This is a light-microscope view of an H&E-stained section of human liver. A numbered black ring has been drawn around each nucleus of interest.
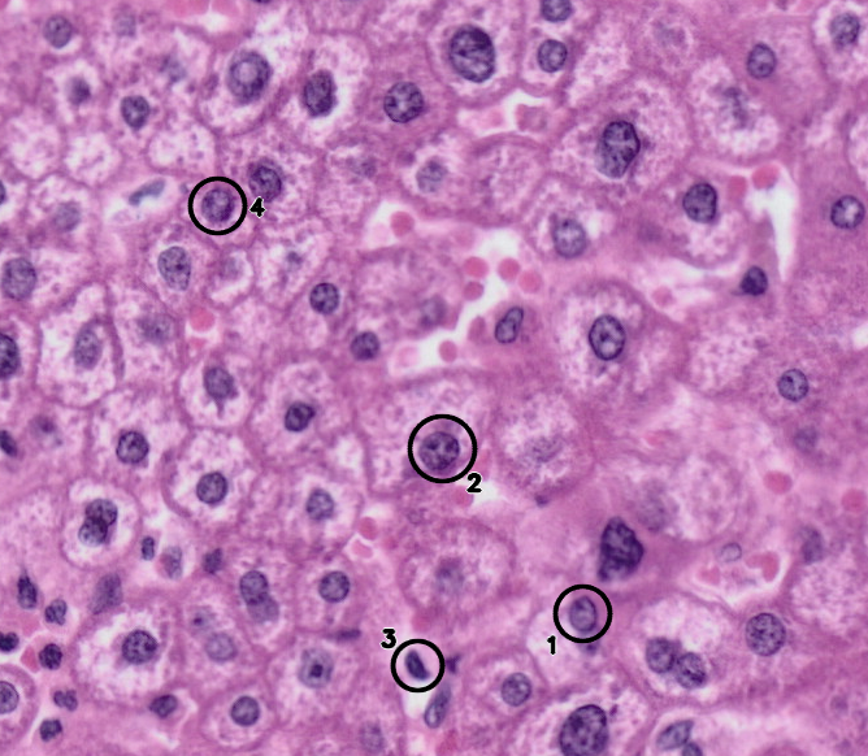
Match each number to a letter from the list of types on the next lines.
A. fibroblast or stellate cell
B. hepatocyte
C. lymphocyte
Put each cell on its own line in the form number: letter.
1: B
2: B
3: C
4: B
